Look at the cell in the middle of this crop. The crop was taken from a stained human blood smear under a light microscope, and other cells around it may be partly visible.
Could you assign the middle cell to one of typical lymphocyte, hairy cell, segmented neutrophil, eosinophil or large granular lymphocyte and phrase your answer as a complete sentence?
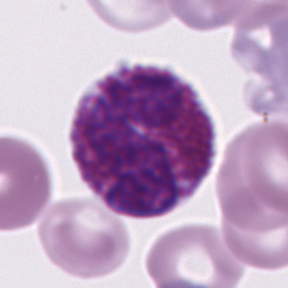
The cell found in the middle of this crop is an eosinophil.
